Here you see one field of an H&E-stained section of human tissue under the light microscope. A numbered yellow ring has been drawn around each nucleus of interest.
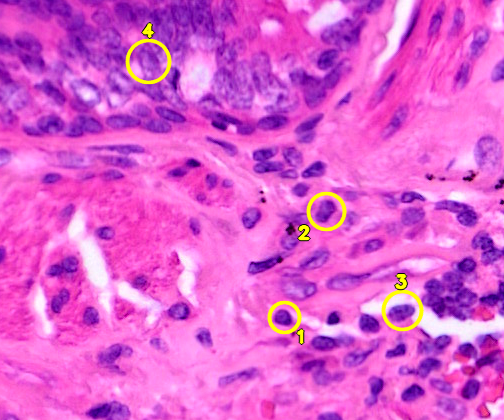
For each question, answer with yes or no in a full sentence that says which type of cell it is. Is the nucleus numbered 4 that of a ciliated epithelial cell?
Yes, the cell corresponding to number 4 is a ciliated epithelial cell.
